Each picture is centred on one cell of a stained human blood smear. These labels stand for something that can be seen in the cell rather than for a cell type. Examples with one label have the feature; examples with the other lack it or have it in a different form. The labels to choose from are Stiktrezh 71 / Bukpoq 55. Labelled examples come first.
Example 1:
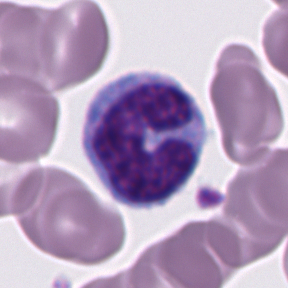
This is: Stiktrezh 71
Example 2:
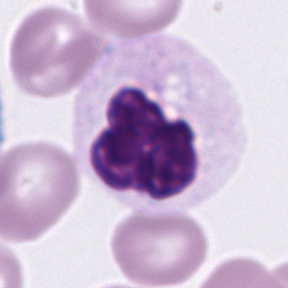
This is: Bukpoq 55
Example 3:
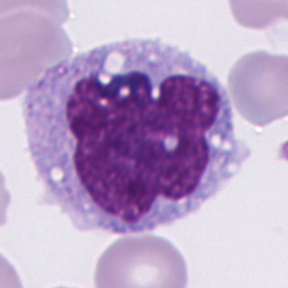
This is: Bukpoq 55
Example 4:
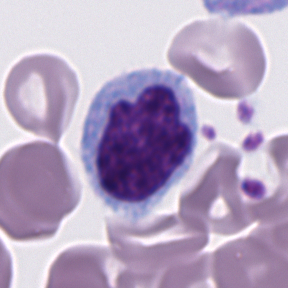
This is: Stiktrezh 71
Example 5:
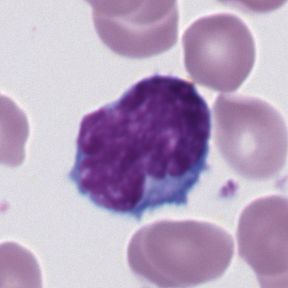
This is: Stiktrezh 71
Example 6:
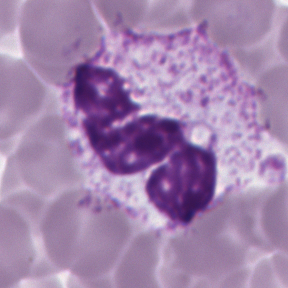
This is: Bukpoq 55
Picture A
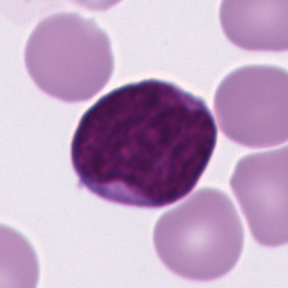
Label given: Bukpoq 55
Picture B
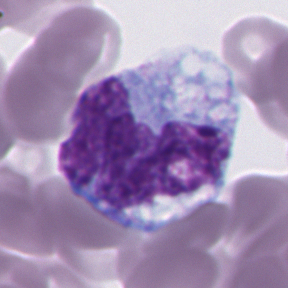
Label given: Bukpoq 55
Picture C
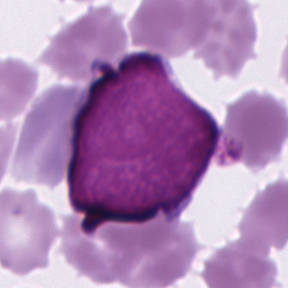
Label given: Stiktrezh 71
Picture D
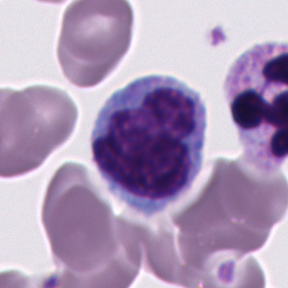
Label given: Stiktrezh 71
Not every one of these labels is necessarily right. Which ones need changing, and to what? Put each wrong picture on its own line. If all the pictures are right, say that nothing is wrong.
Wrong: A (Bukpoq 55); correct: Stiktrezh 71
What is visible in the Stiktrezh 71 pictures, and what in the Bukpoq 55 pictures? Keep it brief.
Seen in Stiktrezh 71: no vacuoles; seen in Bukpoq 55: vacuoles present.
